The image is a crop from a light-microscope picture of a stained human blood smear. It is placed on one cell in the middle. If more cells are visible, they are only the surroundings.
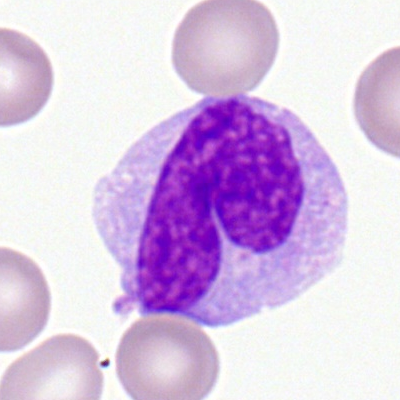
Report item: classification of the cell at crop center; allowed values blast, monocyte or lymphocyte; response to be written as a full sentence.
The centrally positioned cell in the crop represents a monocyte.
